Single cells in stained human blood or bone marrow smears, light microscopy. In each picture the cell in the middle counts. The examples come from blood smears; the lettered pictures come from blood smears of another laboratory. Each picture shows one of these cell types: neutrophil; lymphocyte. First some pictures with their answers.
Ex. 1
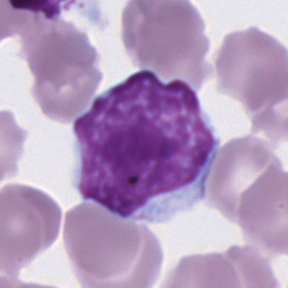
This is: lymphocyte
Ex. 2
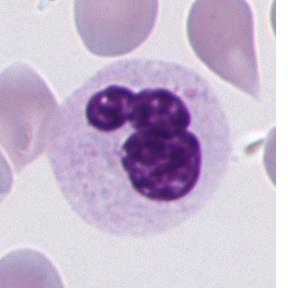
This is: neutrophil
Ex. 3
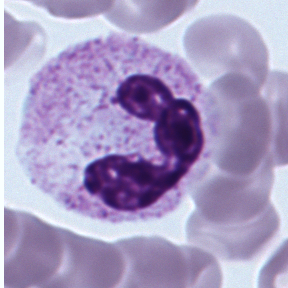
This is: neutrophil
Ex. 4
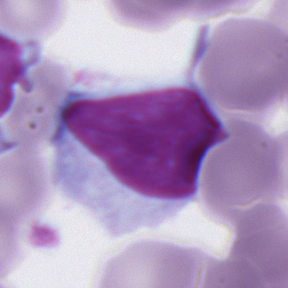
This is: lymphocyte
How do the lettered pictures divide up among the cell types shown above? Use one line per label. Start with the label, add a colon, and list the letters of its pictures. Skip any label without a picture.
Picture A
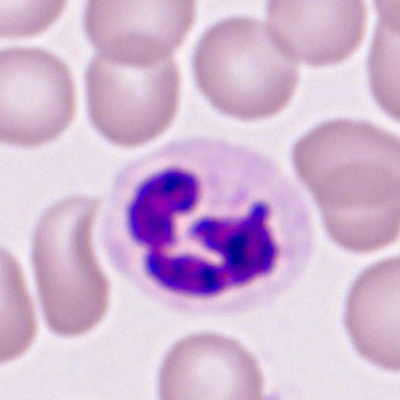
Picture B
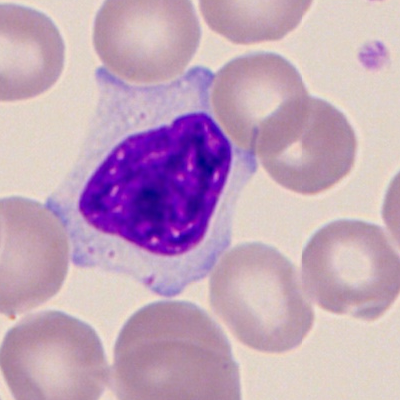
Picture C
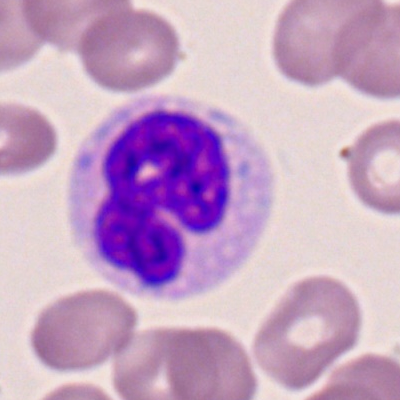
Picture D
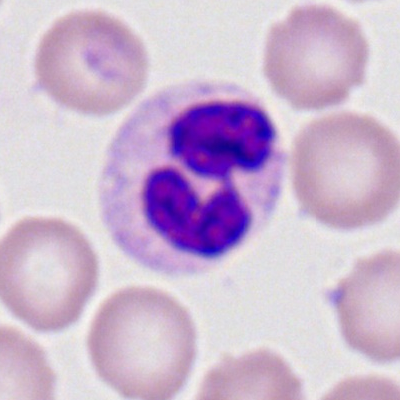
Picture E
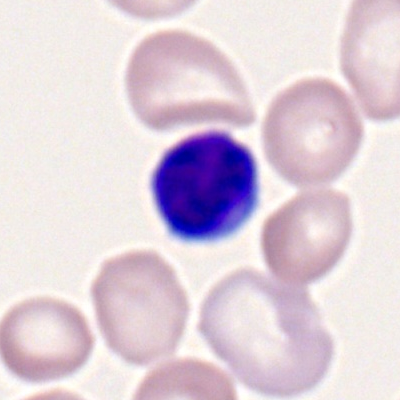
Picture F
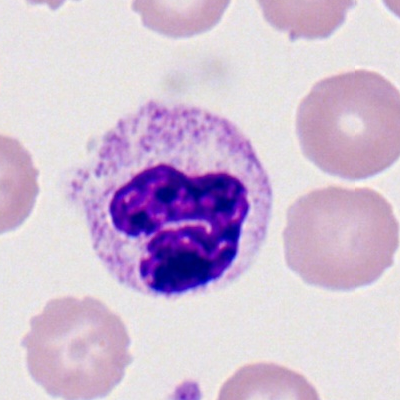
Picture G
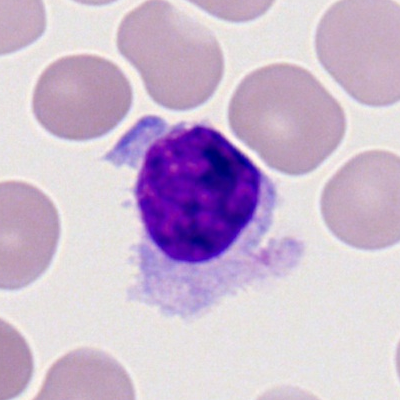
neutrophil: A, C, D, F
lymphocyte: B, E, G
